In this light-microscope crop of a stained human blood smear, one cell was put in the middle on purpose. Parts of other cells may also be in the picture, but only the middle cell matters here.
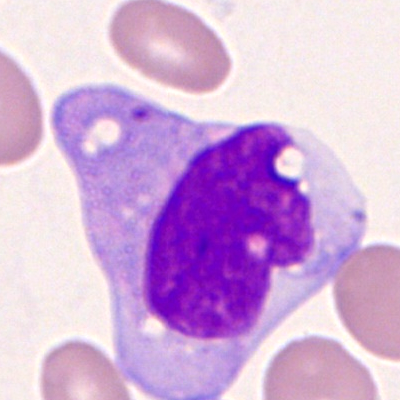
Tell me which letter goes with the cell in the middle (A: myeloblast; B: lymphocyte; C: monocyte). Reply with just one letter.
C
